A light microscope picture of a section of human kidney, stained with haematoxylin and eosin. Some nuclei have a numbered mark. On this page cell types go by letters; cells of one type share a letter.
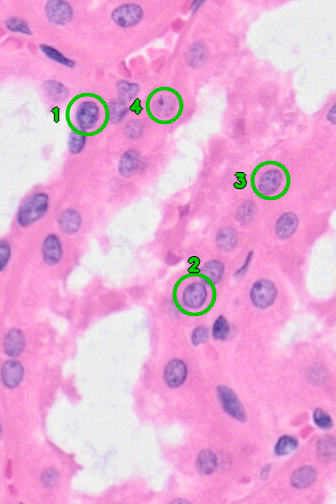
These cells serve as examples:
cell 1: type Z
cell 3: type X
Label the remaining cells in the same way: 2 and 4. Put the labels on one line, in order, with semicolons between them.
type X; type X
